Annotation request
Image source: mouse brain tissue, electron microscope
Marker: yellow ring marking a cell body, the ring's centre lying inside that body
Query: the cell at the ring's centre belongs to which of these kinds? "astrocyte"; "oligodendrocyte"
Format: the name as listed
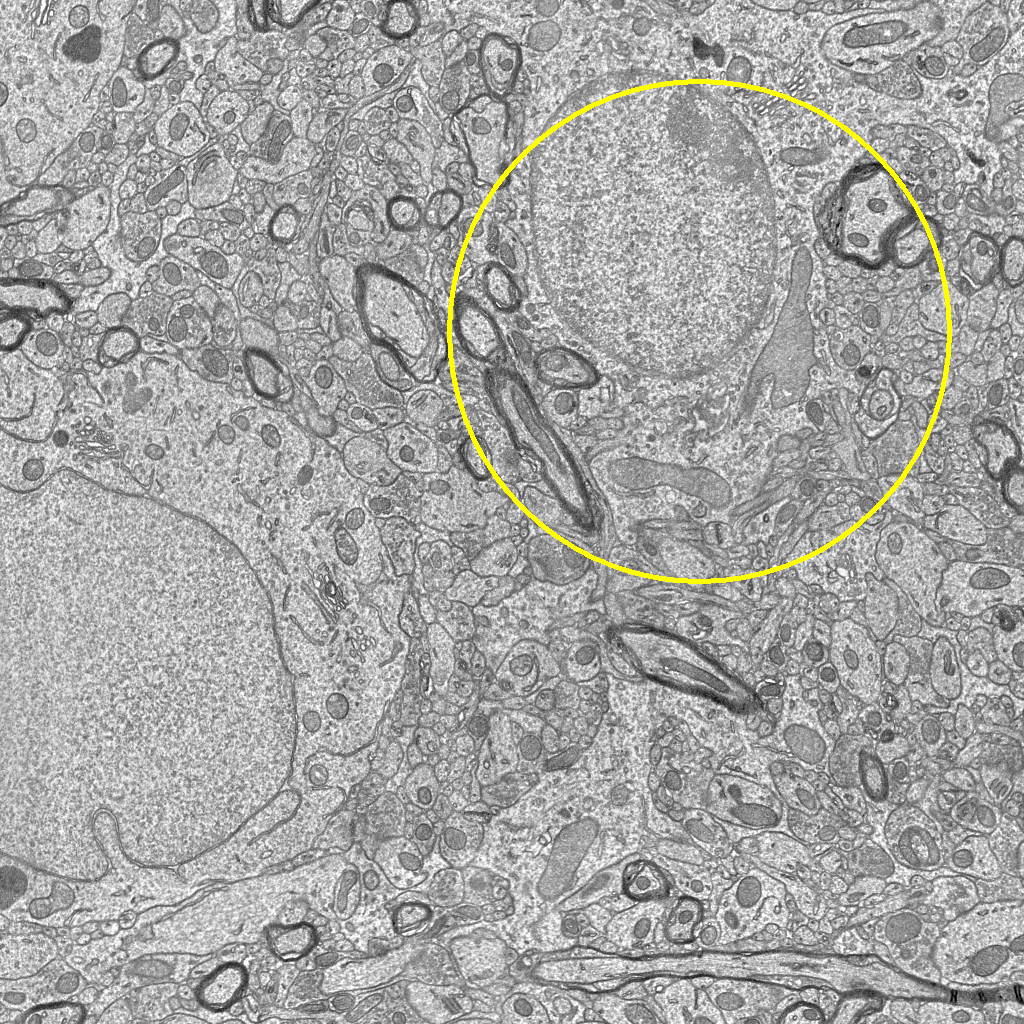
astrocyte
